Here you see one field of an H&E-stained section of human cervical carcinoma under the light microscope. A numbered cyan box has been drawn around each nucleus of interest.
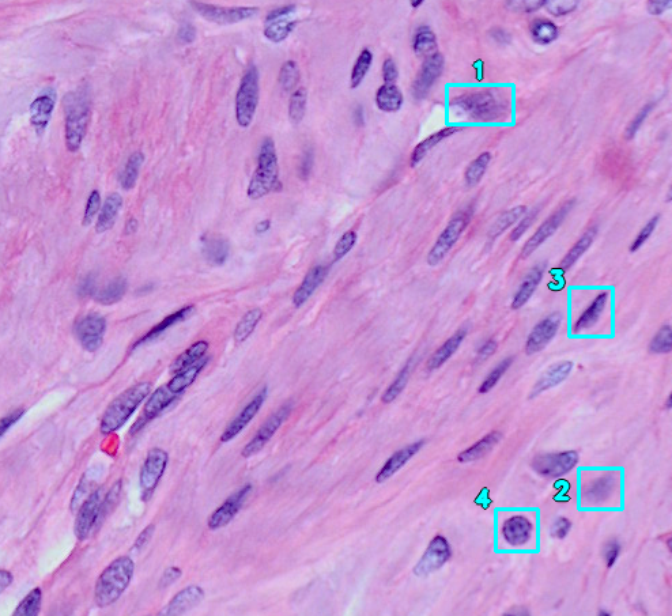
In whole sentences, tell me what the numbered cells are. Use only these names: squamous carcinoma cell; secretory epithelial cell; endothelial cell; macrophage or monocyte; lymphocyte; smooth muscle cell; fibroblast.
Cell 1 is an endothelial cell. Cells 2 and 3 are fibroblasts. Cell 4 is a lymphocyte.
